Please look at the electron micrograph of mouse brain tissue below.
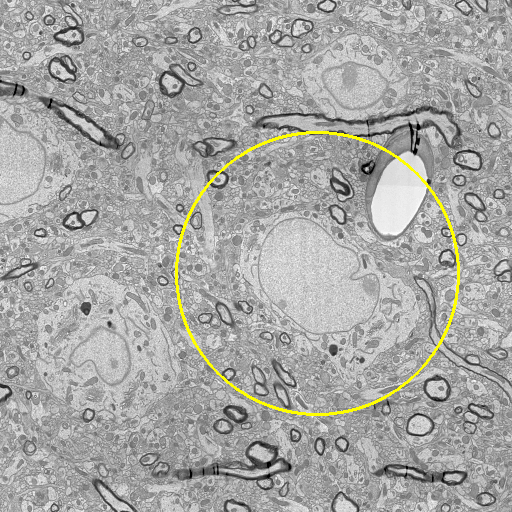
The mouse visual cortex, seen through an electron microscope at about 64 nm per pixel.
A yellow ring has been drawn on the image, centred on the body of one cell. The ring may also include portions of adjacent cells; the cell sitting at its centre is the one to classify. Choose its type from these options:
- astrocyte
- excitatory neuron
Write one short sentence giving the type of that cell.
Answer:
The cell in the middle of the ring is an excitatory neuron.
